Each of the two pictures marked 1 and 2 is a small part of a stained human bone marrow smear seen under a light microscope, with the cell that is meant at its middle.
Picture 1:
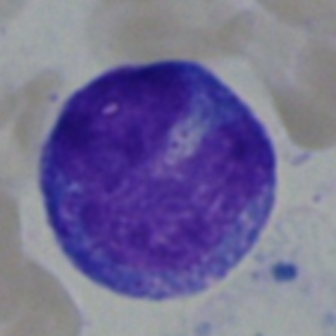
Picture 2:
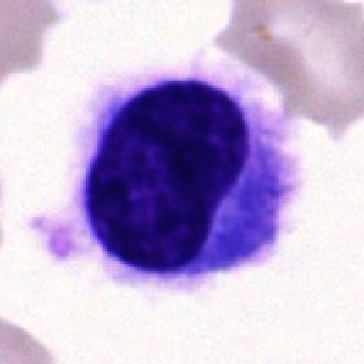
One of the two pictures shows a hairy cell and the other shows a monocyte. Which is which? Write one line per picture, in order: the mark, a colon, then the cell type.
1: monocyte
2: hairy cell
